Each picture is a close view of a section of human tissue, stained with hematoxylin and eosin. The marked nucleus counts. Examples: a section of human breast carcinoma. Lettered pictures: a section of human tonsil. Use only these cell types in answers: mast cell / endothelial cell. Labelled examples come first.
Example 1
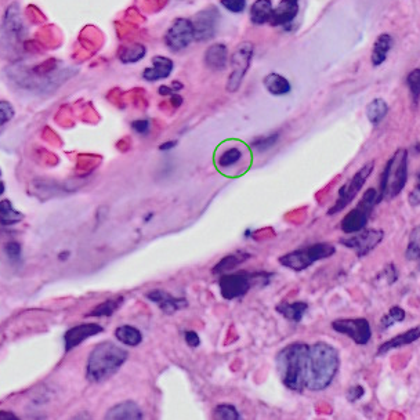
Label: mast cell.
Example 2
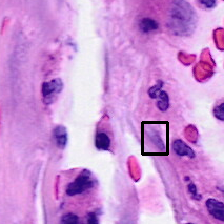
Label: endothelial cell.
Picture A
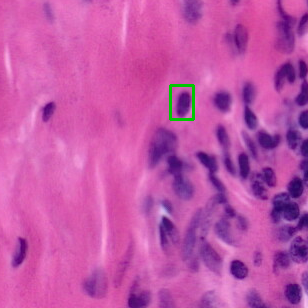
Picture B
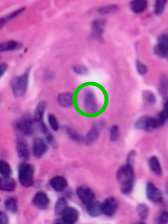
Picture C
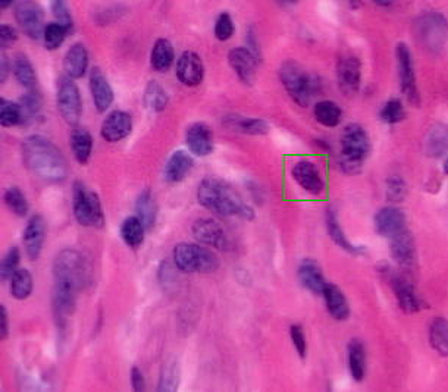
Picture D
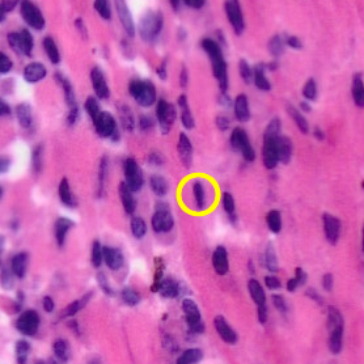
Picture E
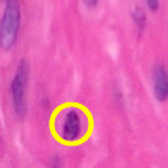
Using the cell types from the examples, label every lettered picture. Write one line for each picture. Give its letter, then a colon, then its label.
A: mast cell.
B: endothelial cell.
C: mast cell.
D: mast cell.
E: mast cell.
